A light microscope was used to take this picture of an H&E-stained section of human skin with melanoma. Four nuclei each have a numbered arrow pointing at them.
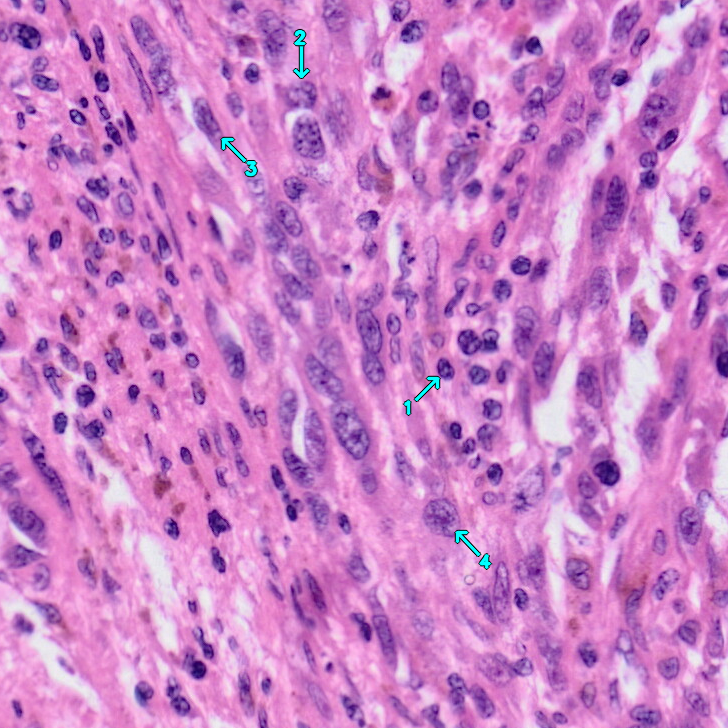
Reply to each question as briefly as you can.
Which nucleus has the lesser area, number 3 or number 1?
1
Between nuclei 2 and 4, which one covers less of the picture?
2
